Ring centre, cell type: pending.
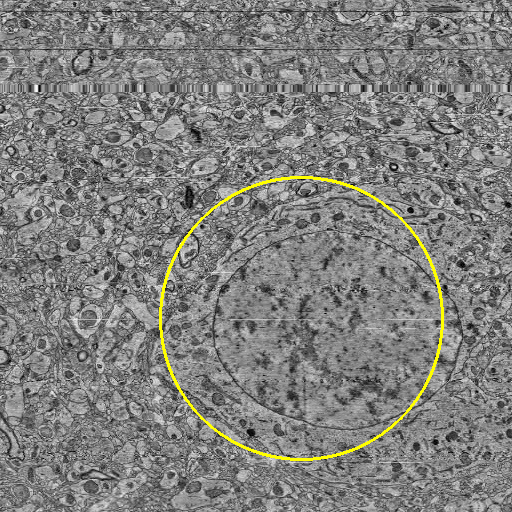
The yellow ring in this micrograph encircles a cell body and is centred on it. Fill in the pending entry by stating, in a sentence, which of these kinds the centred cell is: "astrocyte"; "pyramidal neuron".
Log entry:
The centred cell is recorded as a pyramidal neuron.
